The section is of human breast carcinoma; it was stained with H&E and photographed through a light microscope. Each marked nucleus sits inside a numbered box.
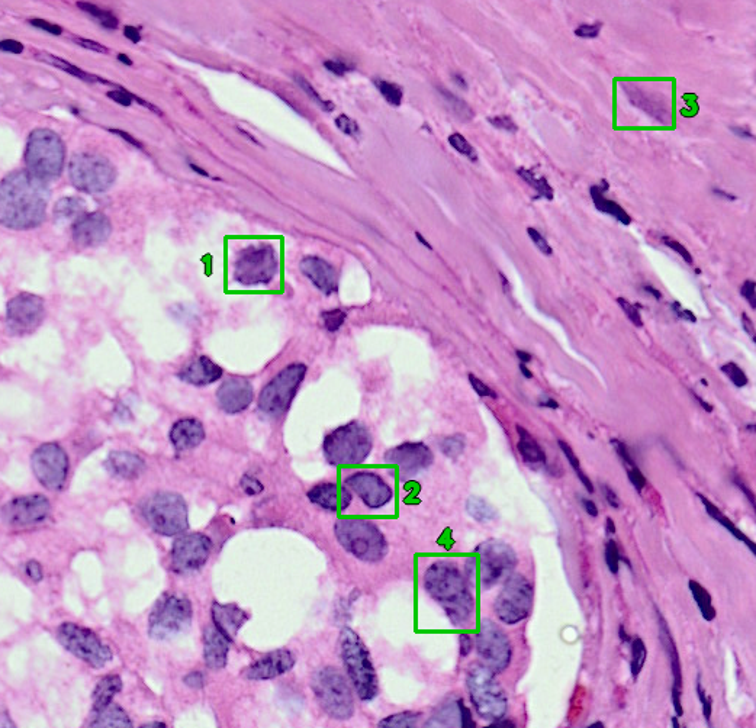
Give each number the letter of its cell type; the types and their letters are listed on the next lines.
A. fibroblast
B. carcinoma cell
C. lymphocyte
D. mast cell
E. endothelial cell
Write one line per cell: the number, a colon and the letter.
1: B
2: B
3: A
4: B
